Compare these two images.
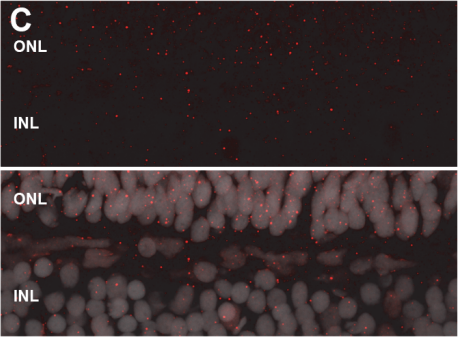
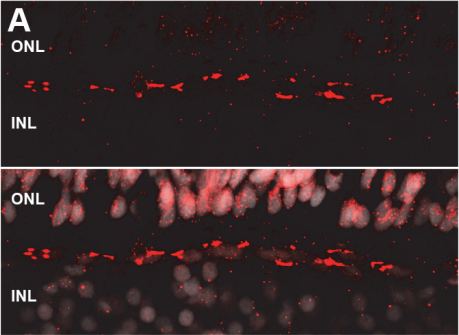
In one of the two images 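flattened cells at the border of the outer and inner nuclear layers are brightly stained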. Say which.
the second image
